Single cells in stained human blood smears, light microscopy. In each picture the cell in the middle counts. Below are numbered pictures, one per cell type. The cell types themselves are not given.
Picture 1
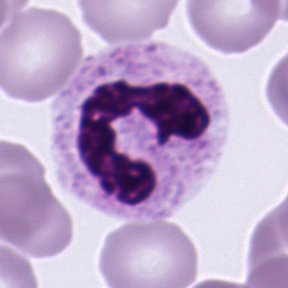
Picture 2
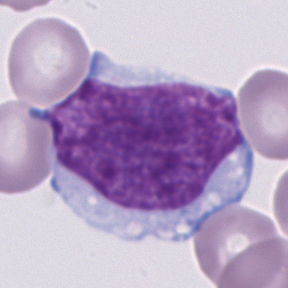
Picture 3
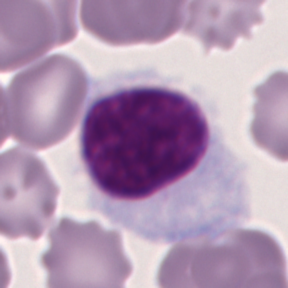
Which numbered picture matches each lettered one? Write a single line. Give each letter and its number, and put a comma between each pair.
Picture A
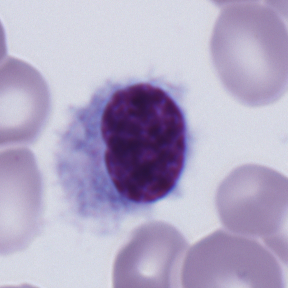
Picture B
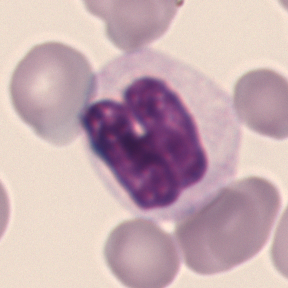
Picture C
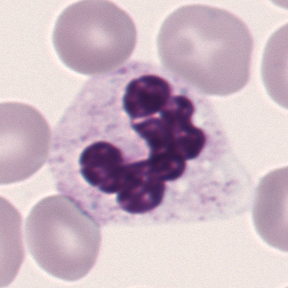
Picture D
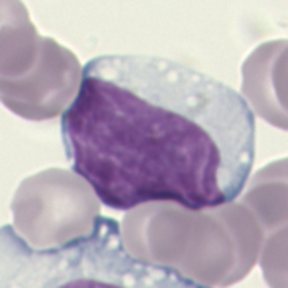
A 3, B 1, C 1, D 2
